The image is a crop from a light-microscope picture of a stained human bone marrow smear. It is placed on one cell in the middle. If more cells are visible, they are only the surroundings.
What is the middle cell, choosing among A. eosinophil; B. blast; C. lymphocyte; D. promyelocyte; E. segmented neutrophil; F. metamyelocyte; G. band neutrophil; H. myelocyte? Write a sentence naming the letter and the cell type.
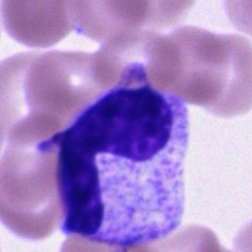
In this crop the middle cell is a band neutrophil, so option G is the correct answer.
